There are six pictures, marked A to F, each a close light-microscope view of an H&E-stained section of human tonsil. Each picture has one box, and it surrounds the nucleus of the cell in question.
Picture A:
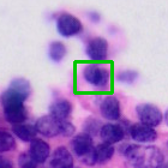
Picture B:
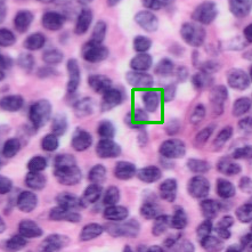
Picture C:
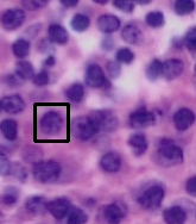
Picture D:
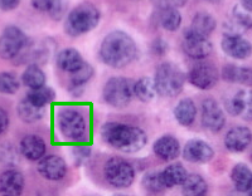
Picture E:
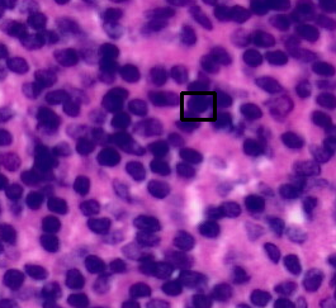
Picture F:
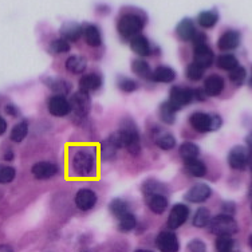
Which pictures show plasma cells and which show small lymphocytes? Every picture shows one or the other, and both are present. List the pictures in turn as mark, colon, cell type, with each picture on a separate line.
A: small lymphocyte
B: small lymphocyte
C: plasma cell
D: plasma cell
E: small lymphocyte
F: plasma cell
